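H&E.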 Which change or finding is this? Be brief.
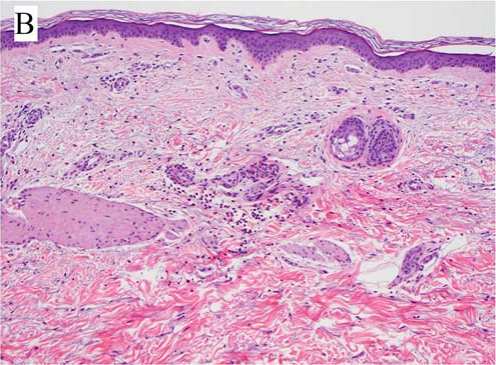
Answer: Sparse perivascular and interstitial polymorphous infiltrate.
